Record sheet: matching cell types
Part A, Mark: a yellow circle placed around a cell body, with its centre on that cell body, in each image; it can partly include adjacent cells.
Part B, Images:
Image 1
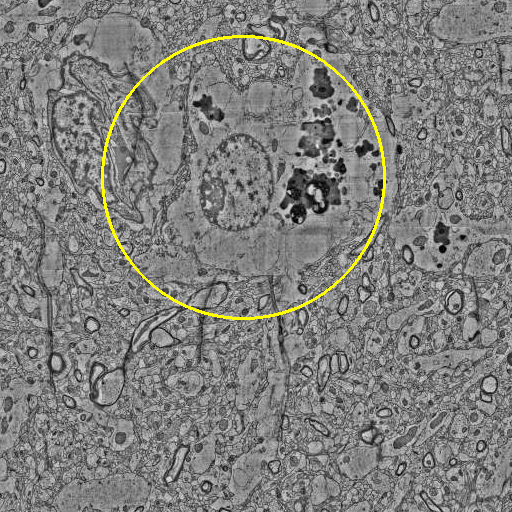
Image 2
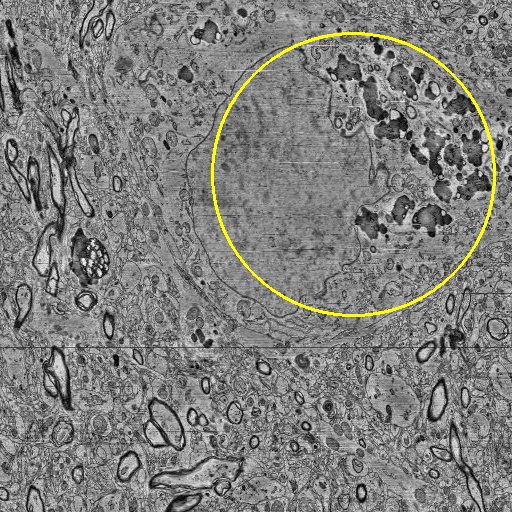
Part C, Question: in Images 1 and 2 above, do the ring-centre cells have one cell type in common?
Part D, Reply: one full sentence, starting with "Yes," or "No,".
No, the ring-centre cells of Image 1 and Image 2 are each of a separate cell type.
